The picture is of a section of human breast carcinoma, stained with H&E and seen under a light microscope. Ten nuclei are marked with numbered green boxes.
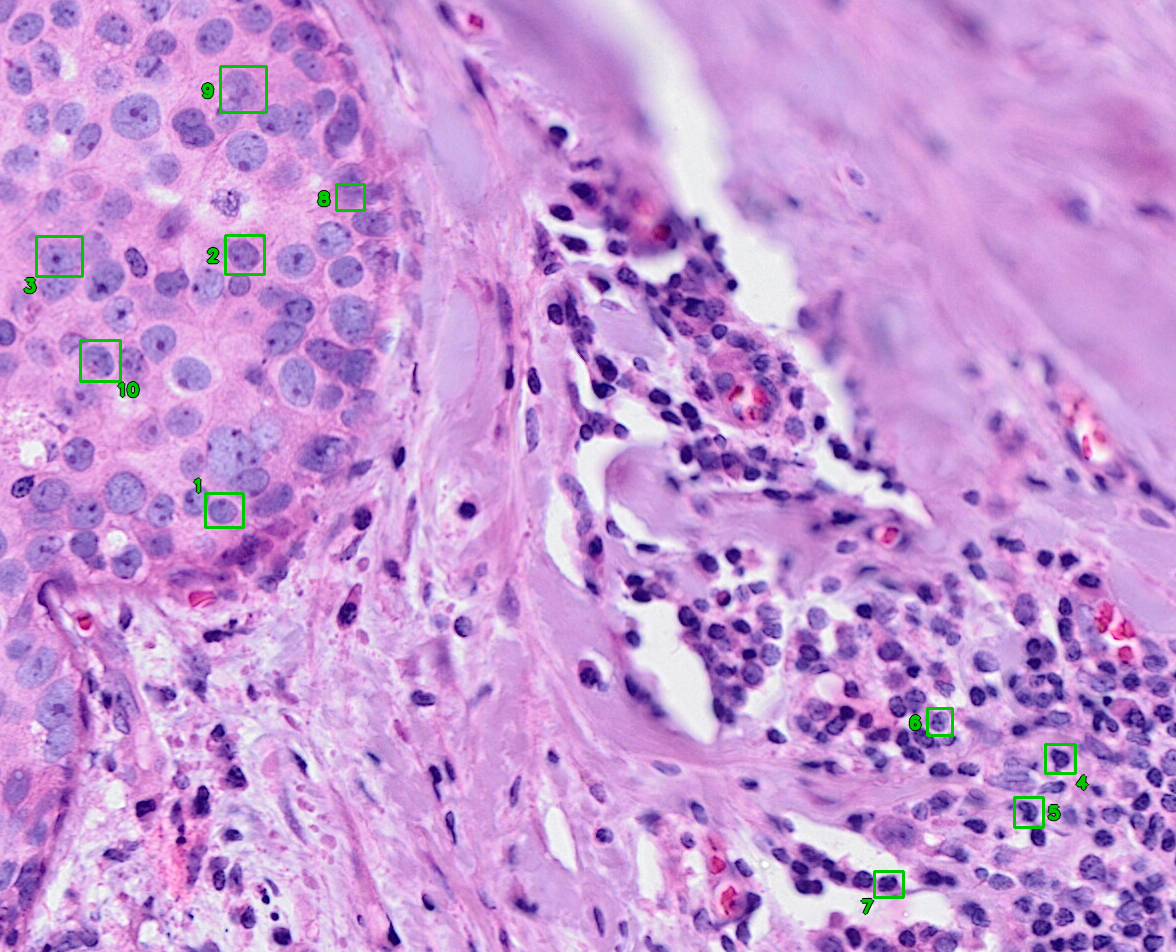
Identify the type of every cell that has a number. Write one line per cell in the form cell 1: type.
cell 1: carcinoma cell
cell 2: carcinoma cell
cell 3: carcinoma cell
cell 4: lymphocyte
cell 5: lymphocyte
cell 6: lymphocyte
cell 7: lymphocyte
cell 8: carcinoma cell
cell 9: carcinoma cell
cell 10: carcinoma cell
